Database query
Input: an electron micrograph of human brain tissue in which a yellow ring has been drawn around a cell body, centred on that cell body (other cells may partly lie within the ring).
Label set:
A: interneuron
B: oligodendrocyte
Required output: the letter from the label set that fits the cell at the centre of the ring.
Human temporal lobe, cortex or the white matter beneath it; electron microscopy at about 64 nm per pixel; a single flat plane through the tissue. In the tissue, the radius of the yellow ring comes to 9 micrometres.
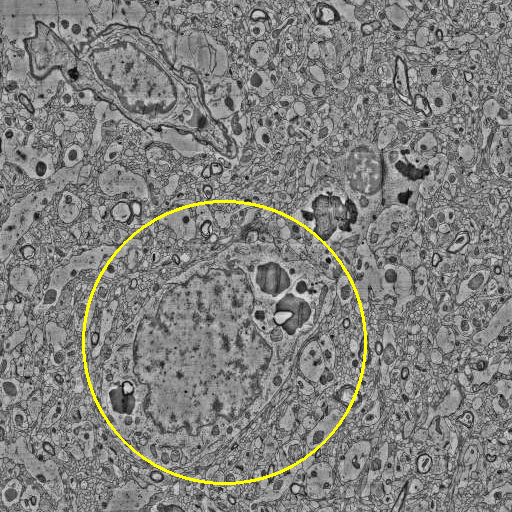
A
